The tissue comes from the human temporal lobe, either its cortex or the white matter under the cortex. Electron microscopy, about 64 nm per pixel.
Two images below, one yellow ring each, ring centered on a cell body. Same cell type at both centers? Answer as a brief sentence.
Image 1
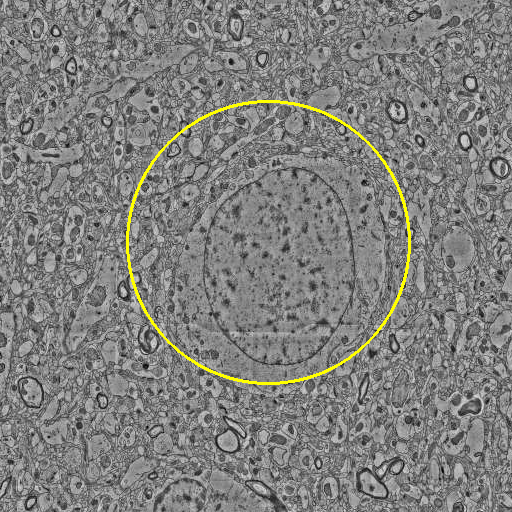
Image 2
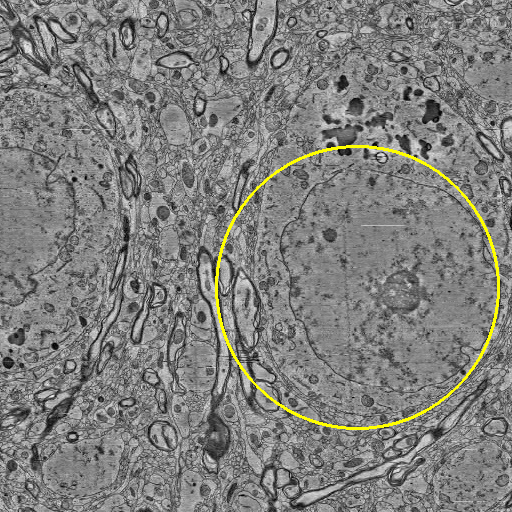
Yes, both cells are of the same type.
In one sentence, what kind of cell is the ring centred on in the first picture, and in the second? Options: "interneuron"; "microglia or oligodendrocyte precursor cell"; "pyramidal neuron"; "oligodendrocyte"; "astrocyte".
Each of the two pictures has a pyramidal neuron at the ring centre.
